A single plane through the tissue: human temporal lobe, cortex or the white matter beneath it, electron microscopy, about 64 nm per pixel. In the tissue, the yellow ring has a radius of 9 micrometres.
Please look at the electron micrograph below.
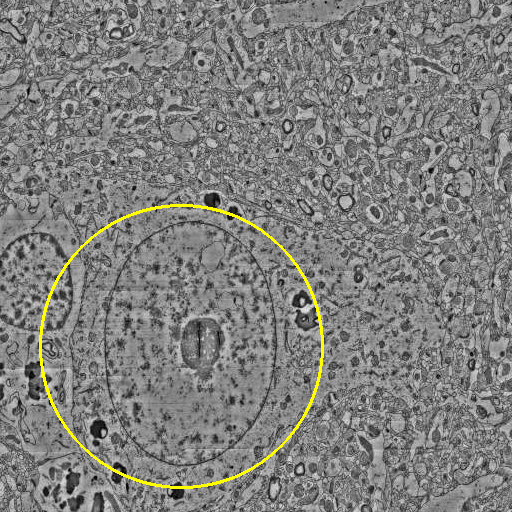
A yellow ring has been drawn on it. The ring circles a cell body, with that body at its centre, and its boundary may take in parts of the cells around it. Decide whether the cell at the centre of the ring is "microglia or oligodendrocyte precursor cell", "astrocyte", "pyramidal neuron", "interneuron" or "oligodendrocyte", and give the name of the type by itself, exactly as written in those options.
pyramidal neuron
